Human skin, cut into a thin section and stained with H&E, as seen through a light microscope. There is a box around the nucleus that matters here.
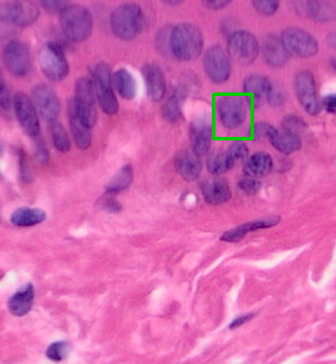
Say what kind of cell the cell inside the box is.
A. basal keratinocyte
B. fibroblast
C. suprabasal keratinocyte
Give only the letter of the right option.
A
